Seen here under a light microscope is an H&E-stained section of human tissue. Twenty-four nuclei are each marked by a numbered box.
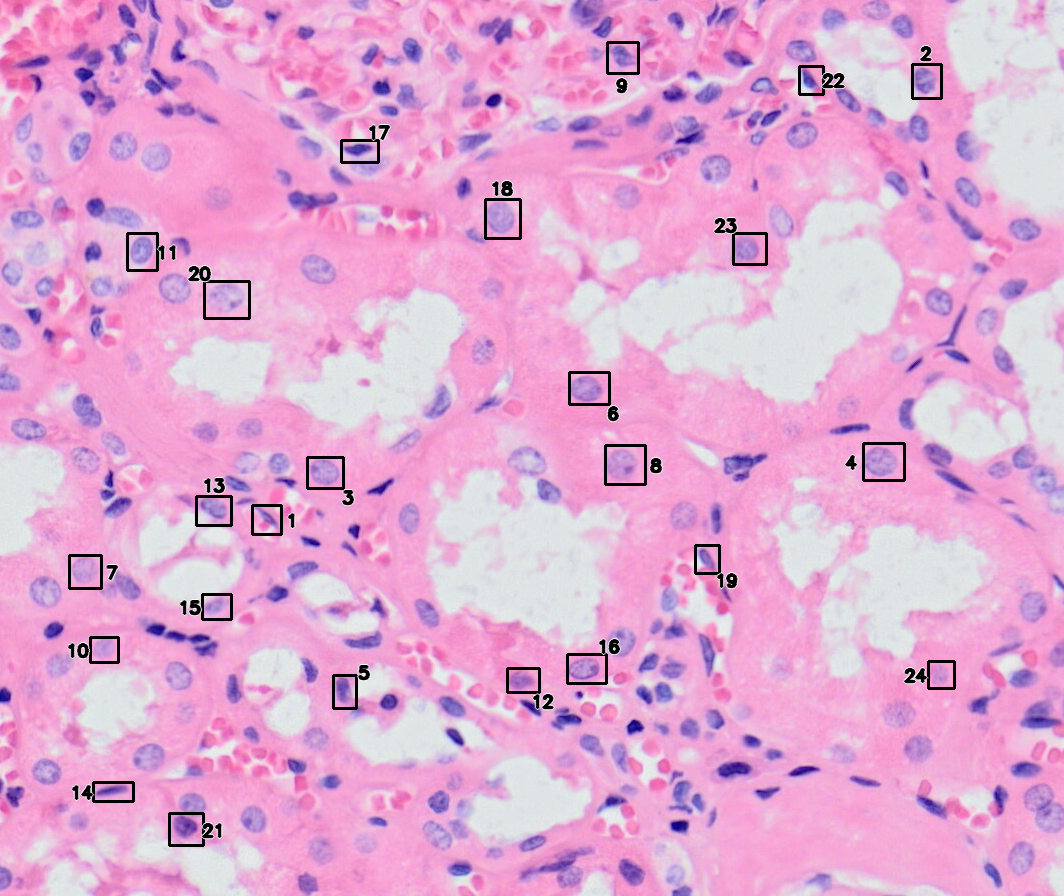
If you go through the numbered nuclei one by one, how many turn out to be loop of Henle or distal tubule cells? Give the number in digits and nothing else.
4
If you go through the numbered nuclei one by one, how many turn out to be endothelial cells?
6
